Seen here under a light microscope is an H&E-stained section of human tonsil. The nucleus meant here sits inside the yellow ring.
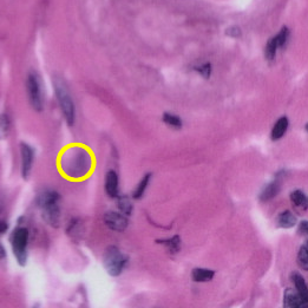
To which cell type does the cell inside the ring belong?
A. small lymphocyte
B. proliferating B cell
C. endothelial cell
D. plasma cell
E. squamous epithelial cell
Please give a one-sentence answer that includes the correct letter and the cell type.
Of all the options, C is right, since the cell inside the ring is an endothelial cell.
